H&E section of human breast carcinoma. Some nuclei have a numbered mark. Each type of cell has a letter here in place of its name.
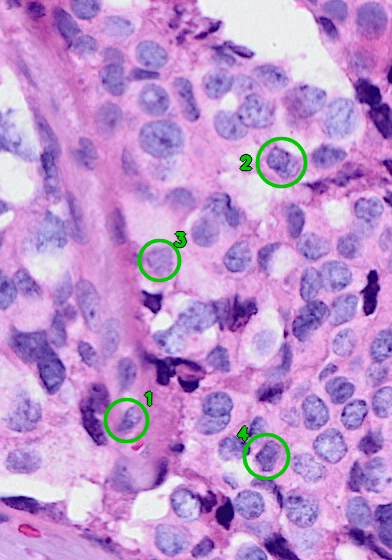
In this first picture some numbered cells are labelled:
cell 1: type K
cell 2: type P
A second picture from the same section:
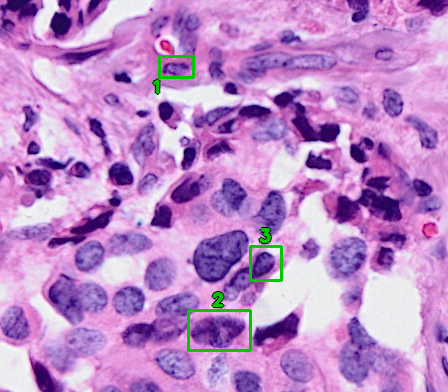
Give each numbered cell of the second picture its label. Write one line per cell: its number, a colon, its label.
1: type K
2: type P
3: type P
